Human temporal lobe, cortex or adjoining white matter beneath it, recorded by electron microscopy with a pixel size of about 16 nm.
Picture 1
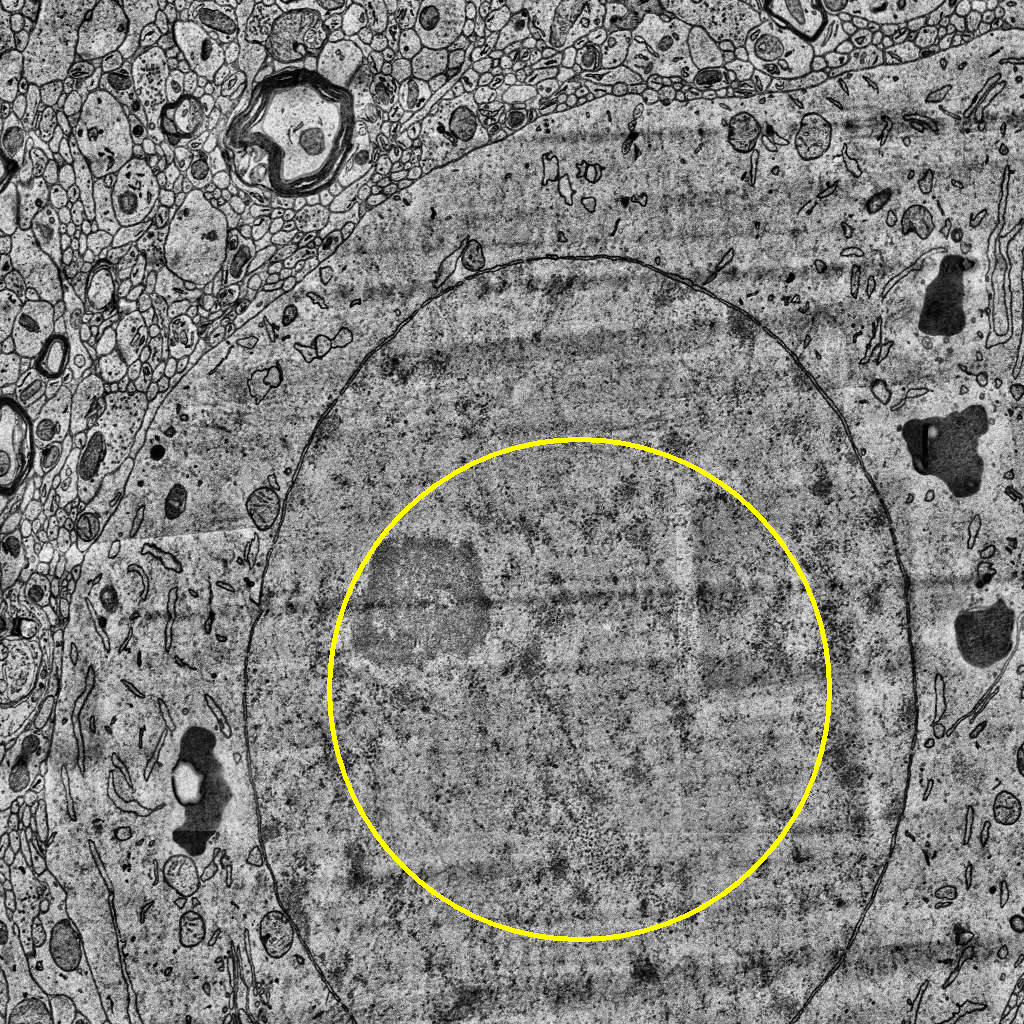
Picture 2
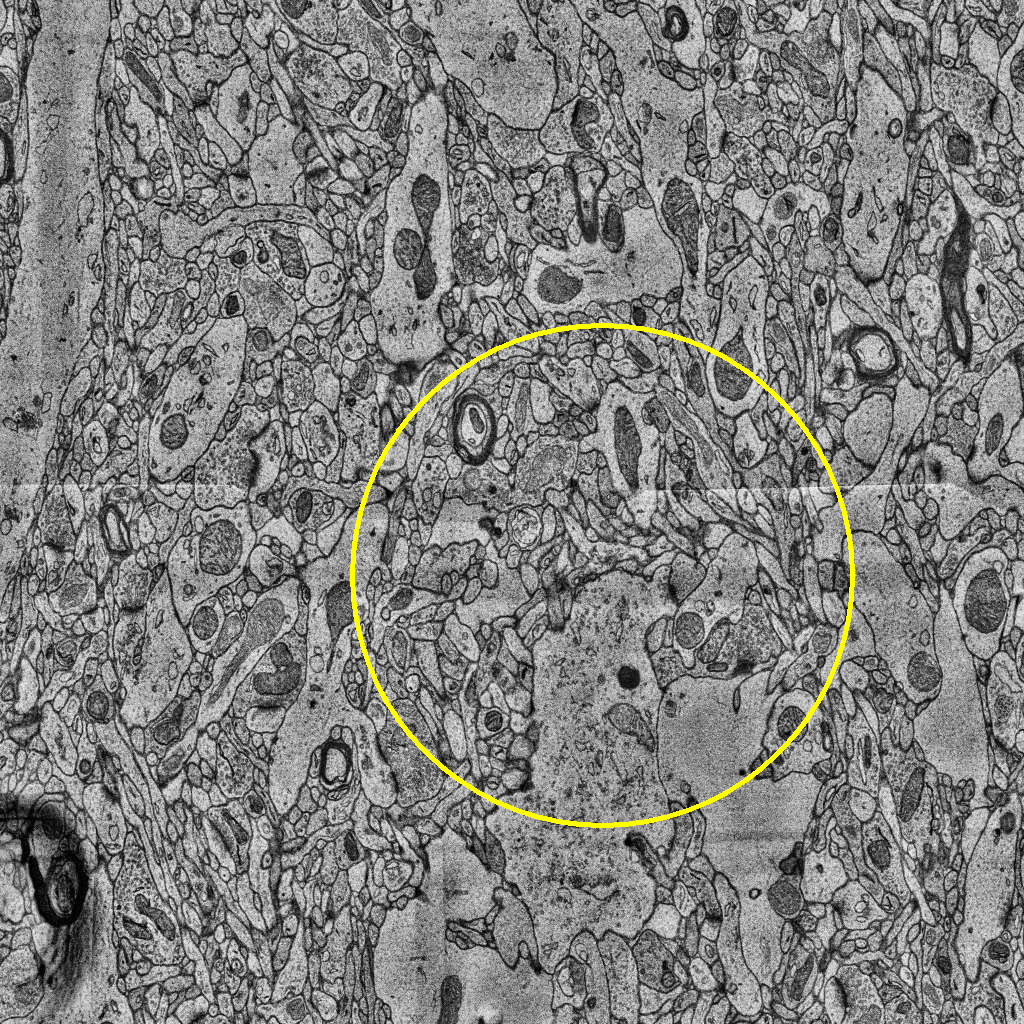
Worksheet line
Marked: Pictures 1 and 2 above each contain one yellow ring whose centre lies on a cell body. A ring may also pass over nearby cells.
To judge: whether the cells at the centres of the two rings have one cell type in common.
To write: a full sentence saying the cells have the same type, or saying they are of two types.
The cells at the centres of the rings in Picture 1 and Picture 2 are of two types.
